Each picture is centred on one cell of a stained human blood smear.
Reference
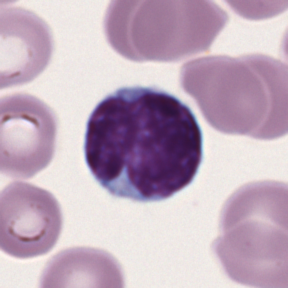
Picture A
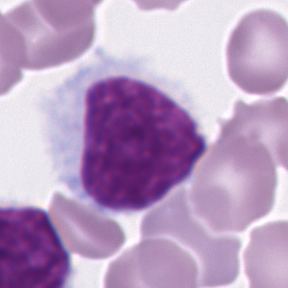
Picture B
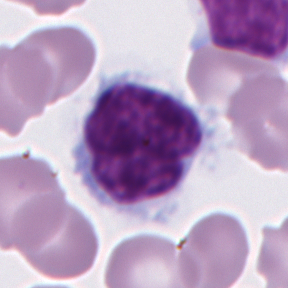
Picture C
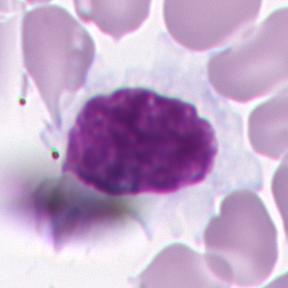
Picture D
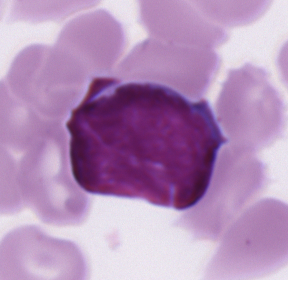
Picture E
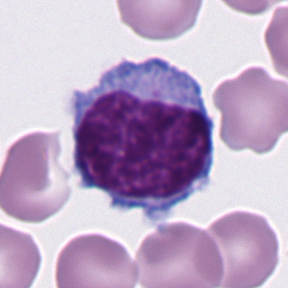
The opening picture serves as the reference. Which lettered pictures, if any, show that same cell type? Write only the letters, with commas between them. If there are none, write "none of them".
none of them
